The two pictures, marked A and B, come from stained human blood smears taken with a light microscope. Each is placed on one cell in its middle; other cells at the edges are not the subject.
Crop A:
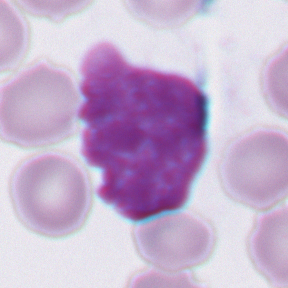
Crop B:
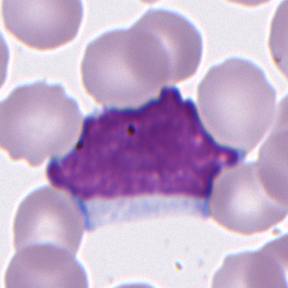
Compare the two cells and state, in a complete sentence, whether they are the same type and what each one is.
No, crop A shows a smudge cell, whereas in crop B the cell is a typical lymphocyte.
